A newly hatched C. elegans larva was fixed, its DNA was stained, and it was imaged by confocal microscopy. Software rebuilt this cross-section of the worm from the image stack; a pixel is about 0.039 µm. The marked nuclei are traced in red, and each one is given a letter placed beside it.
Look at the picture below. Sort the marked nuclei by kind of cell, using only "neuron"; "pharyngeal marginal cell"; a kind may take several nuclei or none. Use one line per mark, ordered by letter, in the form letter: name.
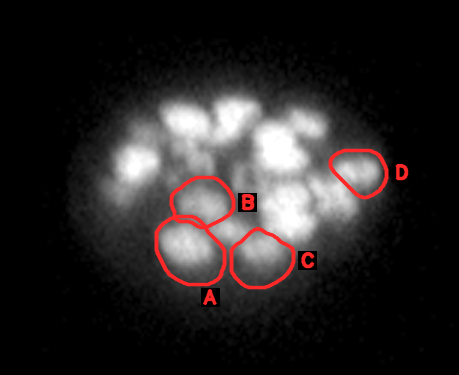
A: neuron
B: pharyngeal marginal cell
C: neuron
D: neuron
